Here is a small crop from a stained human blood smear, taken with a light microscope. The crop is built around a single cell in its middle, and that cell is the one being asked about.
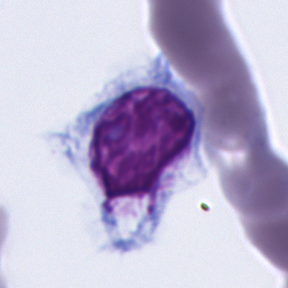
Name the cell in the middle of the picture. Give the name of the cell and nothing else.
hairy cell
